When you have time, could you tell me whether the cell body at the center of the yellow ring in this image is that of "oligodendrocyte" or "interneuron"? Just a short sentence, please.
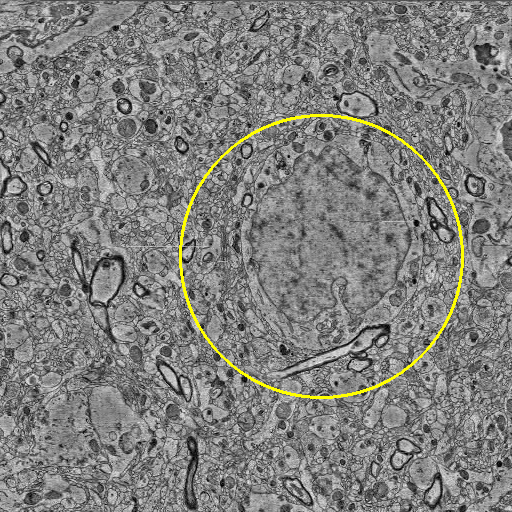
The cell body at the center of the ring is that of an interneuron.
